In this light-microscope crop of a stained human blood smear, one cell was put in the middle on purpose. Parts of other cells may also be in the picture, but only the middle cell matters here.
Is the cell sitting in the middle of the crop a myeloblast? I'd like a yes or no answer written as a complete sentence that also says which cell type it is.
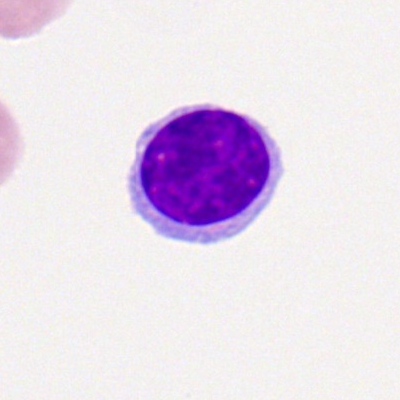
No, the central cell is classed as a lymphocyte and not as a myeloblast.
